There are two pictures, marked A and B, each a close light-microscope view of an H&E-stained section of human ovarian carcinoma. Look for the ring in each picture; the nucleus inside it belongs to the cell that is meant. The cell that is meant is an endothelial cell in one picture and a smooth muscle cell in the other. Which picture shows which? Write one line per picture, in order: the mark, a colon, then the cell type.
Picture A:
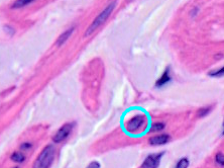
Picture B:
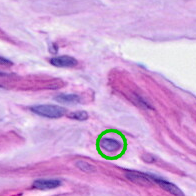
A: smooth muscle cell
B: endothelial cell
